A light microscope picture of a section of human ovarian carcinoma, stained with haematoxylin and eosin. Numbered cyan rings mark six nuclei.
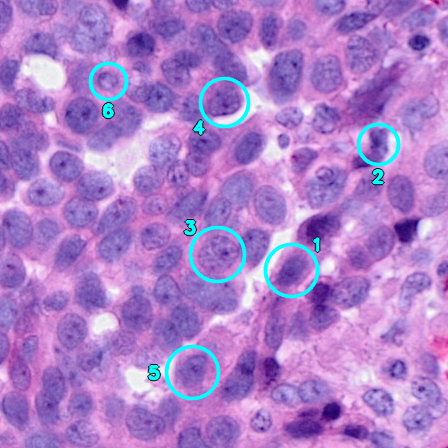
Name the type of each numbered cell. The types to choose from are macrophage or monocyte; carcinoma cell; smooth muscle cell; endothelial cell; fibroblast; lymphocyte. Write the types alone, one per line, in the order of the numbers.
carcinoma cell
macrophage or monocyte
carcinoma cell
carcinoma cell
carcinoma cell
macrophage or monocyte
